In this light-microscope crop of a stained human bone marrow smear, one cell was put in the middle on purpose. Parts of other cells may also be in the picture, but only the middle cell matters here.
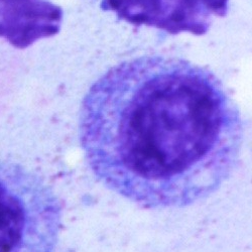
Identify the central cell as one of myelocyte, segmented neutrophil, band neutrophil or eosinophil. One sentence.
At the middle of the frame sits a myelocyte.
